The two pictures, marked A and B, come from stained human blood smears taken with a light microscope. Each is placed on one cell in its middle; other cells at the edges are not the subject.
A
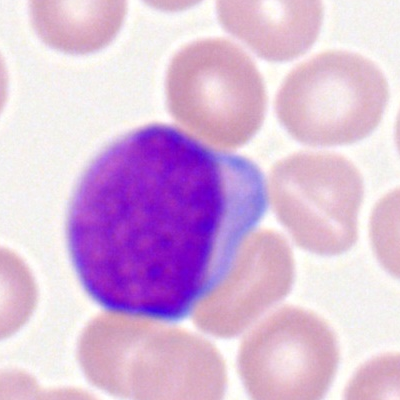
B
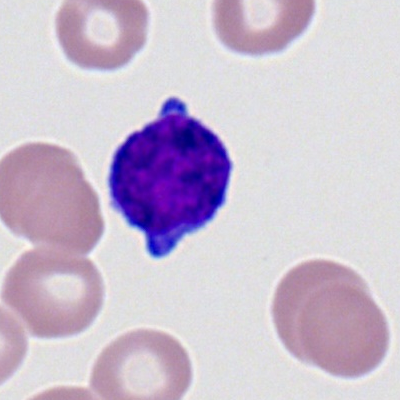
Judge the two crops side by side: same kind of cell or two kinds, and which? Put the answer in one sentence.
No, crop A contains a myeloblast, whereas crop B contains a lymphocyte.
